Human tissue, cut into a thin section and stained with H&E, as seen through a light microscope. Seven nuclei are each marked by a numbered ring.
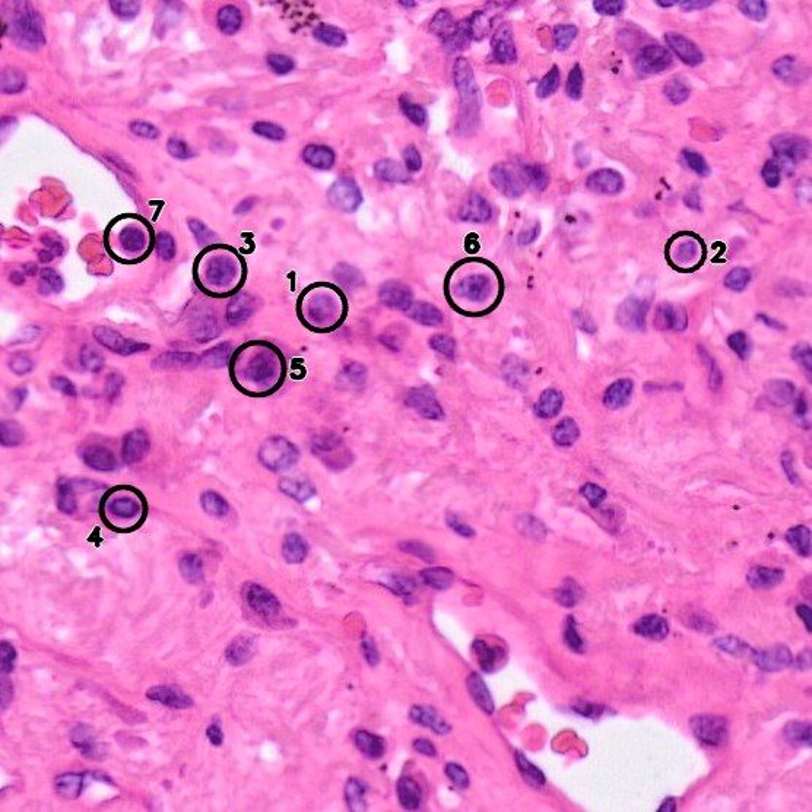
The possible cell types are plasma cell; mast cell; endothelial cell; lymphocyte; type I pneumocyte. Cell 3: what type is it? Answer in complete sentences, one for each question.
Of the numbered cells, the one labelled 3 is a lymphocyte.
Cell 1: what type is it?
The cell assigned the number 1 is a plasma cell.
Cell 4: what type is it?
The cell bearing label 4 corresponds to a mast cell.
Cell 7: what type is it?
As for number 7, that cell is a lymphocyte.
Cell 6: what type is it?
The correct answer for cell 6 is a lymphocyte.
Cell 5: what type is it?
The expected answer is that cell 5 is a plasma cell.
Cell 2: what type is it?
Denoted by the label 2 in the section is a lymphocyte.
